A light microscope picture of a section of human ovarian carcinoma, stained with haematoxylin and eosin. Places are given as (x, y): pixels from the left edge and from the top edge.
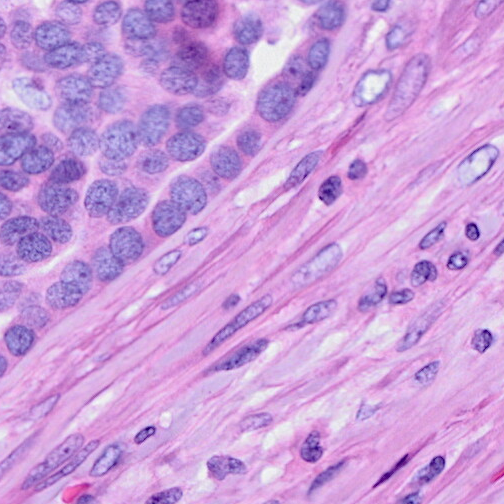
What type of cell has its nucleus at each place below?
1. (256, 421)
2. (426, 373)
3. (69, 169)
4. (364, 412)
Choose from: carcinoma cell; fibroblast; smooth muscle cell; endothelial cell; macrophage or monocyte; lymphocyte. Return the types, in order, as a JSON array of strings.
["fibroblast", "fibroblast", "carcinoma cell", "fibroblast"]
